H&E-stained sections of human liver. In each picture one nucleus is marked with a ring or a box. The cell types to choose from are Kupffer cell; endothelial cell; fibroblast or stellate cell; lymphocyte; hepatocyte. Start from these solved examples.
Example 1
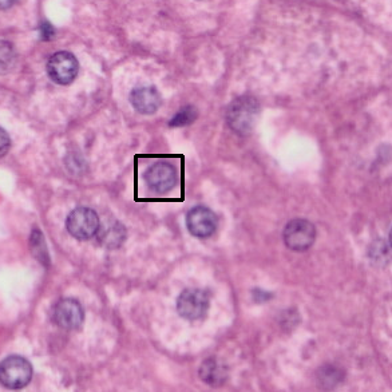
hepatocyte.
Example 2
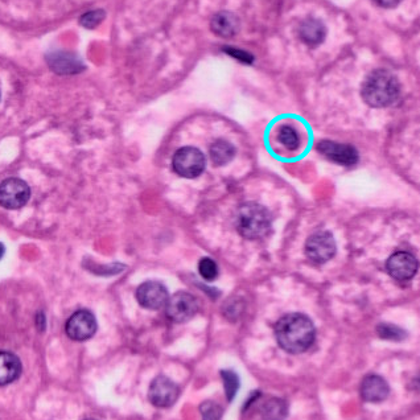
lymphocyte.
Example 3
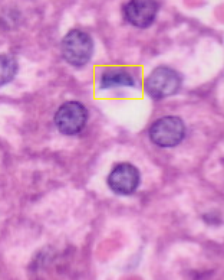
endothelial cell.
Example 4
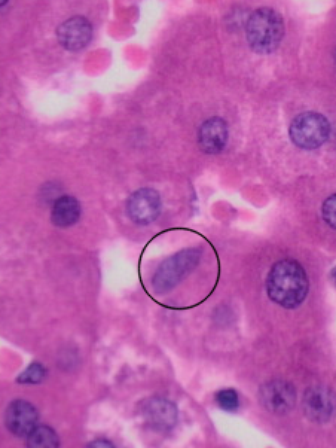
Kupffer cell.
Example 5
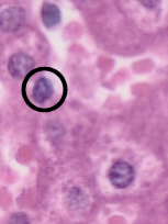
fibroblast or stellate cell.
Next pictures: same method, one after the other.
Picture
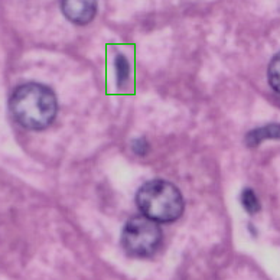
lymphocyte.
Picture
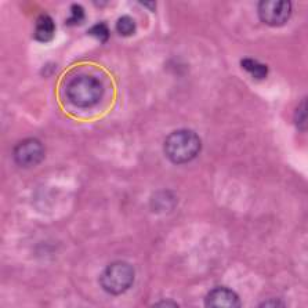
hepatocyte.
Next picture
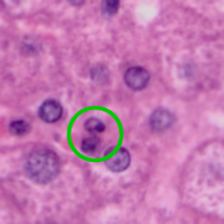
Kupffer cell.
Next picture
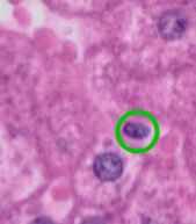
lymphocyte.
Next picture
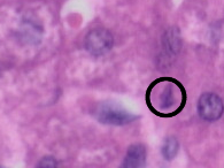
fibroblast or stellate cell.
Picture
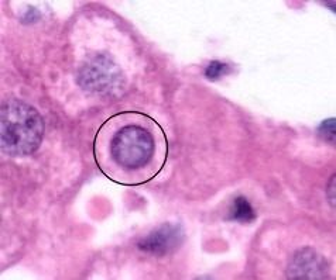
hepatocyte.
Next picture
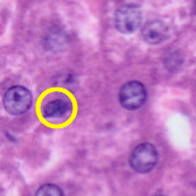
fibroblast or stellate cell.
